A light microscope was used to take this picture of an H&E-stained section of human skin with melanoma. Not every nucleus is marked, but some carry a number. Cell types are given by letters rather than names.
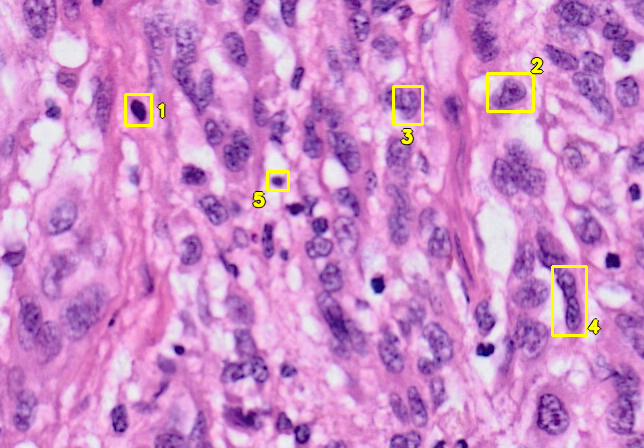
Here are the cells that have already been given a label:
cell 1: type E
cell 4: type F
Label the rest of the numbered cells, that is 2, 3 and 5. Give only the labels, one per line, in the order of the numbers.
type F
type F
type E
